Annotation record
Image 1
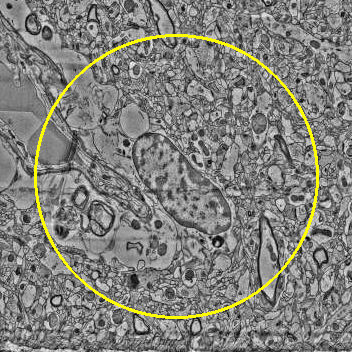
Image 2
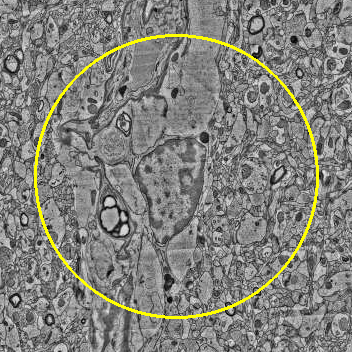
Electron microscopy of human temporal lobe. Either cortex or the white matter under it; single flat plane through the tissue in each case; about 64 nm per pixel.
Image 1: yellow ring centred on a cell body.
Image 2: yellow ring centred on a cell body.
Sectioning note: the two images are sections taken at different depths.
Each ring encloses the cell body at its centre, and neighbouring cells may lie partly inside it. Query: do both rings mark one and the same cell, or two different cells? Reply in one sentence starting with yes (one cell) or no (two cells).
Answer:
No, the two rings indicate two different cells, not one.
